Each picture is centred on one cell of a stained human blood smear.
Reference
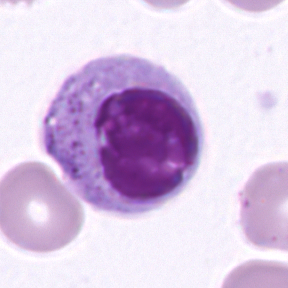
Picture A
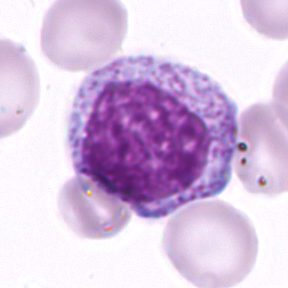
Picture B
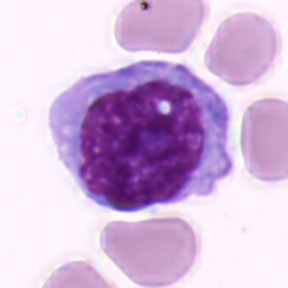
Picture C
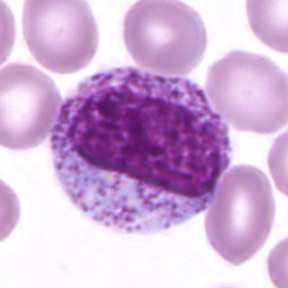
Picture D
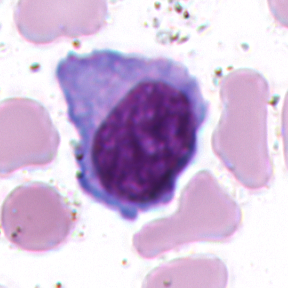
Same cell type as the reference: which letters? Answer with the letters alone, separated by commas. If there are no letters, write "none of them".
B, D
